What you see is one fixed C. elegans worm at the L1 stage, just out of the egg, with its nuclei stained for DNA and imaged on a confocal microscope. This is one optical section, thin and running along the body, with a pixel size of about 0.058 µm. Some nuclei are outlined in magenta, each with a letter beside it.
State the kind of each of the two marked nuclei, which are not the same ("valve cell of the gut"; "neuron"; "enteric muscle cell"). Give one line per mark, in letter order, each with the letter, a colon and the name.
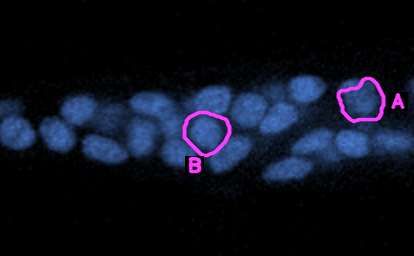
A: valve cell of the gut
B: neuron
